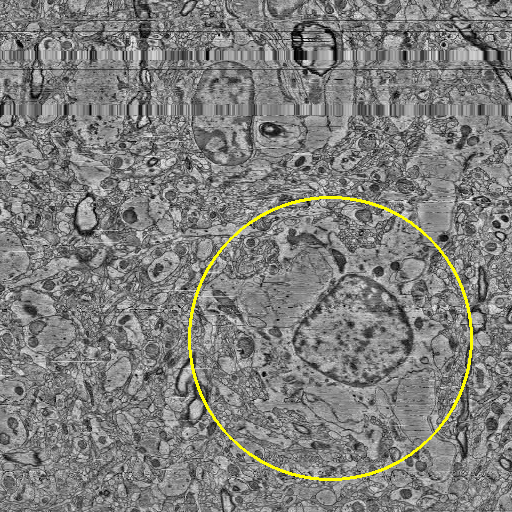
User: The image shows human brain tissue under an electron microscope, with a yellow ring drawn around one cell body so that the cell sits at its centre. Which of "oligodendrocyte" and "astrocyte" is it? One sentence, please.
At the centre of the ring sits an astrocyte.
